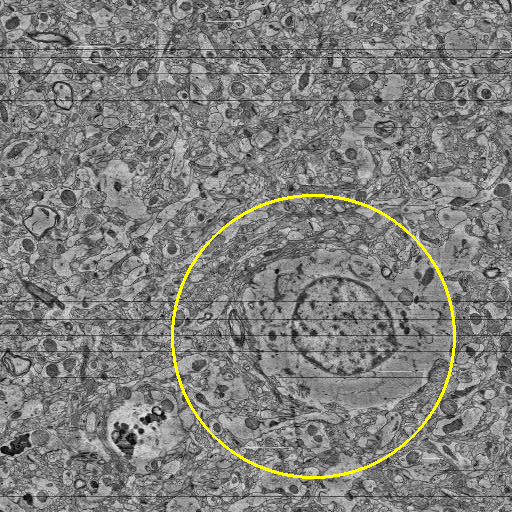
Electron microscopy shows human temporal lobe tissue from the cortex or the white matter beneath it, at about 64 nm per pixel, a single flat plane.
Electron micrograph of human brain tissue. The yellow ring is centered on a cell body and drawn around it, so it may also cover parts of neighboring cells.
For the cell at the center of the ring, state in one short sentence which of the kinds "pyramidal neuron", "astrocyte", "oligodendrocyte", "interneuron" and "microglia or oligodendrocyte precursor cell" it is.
This ring is centered on an astrocyte.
